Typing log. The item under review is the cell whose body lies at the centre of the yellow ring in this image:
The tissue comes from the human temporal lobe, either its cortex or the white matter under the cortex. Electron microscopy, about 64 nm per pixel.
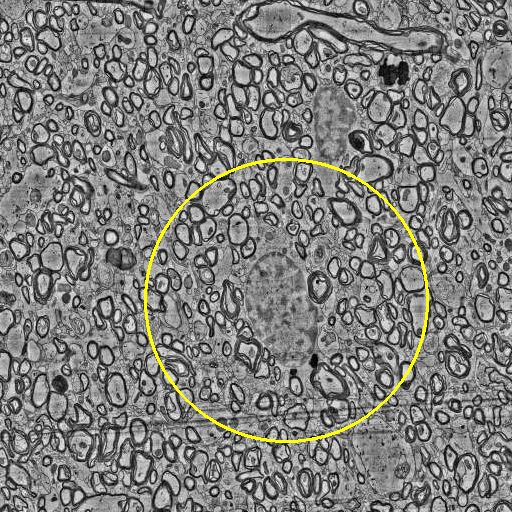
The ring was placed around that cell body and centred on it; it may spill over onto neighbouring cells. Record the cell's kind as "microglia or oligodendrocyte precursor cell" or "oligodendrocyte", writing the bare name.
oligodendrocyte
